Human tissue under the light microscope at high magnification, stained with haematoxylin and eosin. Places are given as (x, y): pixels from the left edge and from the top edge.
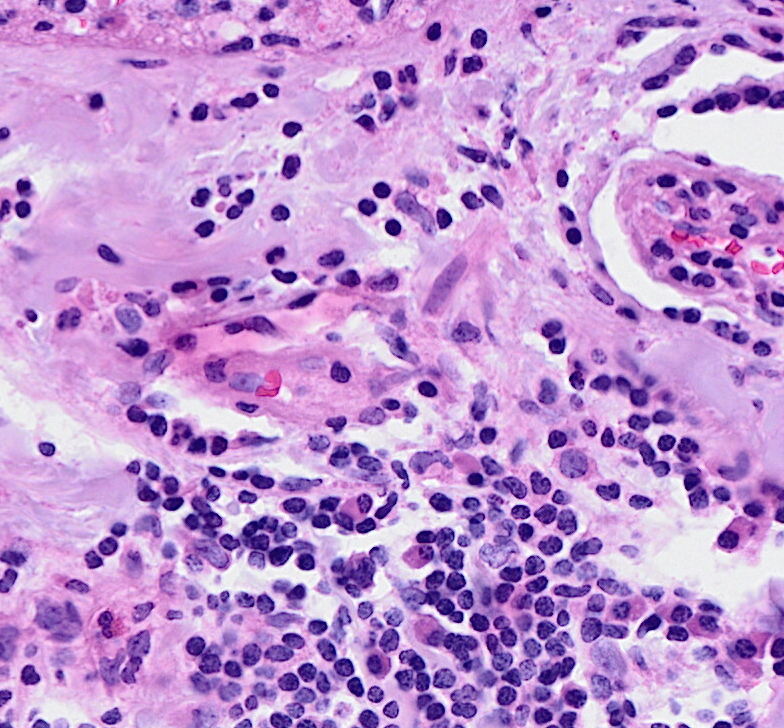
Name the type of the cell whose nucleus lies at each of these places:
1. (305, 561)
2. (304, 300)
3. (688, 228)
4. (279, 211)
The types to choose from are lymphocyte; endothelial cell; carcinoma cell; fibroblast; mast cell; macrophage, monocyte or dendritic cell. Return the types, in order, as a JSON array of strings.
["lymphocyte", "lymphocyte", "endothelial cell", "lymphocyte"]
